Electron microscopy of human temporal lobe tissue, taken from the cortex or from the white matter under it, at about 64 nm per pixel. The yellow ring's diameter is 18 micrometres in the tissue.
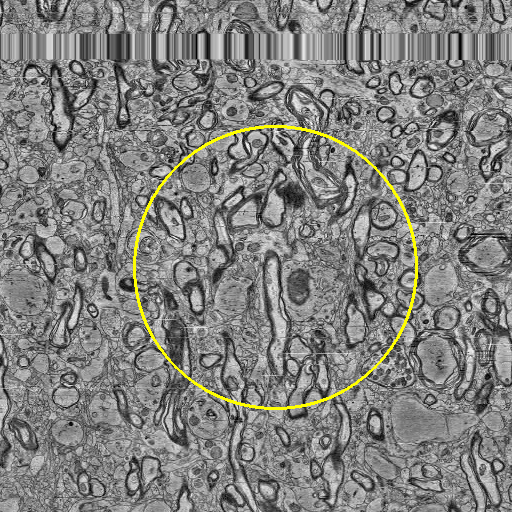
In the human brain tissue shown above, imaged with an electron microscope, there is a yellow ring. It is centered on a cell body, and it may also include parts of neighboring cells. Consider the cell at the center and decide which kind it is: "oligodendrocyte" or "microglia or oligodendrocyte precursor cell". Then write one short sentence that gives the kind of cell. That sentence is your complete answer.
This centered cell body is that of a microglial cell or oligodendrocyte precursor cell.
